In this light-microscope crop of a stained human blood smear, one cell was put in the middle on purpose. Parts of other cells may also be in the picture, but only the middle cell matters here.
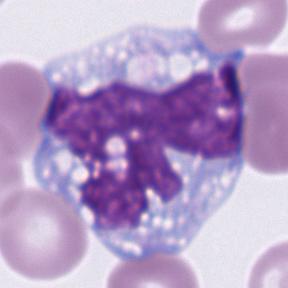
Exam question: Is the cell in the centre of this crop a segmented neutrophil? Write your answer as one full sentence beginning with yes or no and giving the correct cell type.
No, the central cell does not count as a segmented neutrophil; it is a monocyte.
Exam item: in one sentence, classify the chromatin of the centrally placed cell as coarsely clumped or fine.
The nuclear chromatin is fine, showing no coarse aggregates.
